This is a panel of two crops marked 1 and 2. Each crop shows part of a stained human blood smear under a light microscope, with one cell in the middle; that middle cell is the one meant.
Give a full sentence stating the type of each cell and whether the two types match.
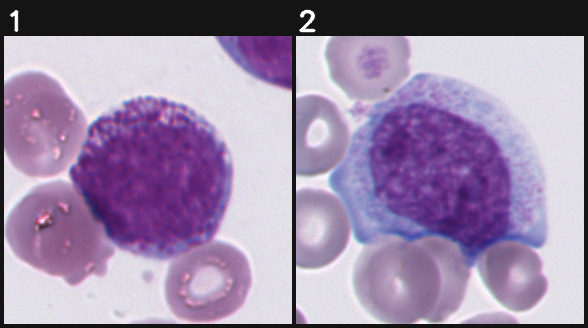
No, a promyelocyte is the cell in crop 2, and crop 1 contains a myelocyte.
